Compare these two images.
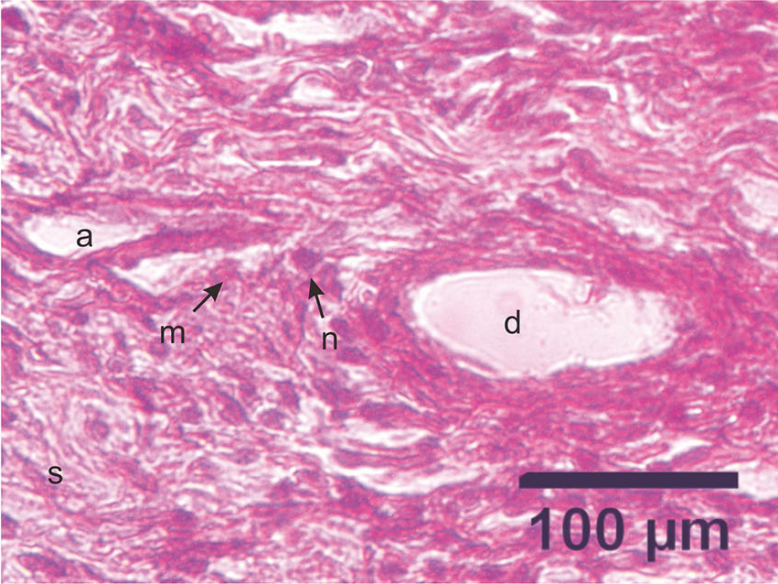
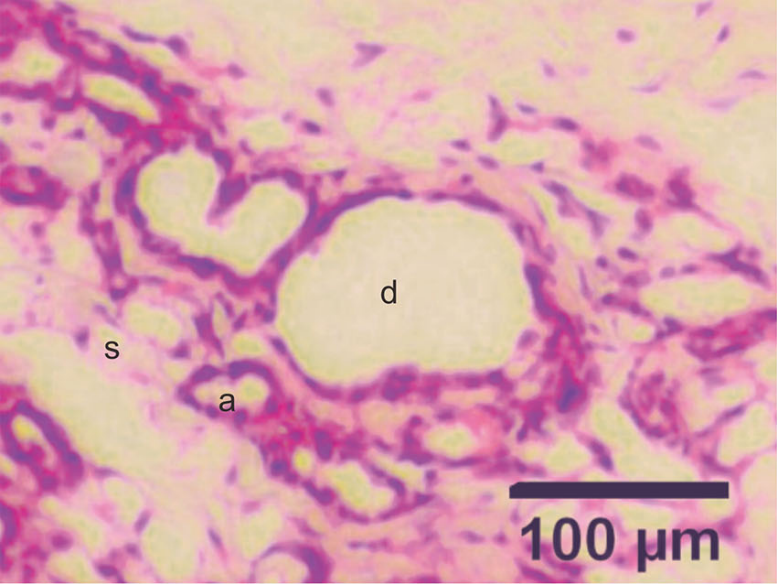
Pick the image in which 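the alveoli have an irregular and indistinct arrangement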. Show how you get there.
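The first image. First image: pale spaces lie in dense pink fibrous tissue without a clear ring of epithelial cells around them. Second image: rounded lumens are each lined by a distinct rim of purple-nucleated epithelial cells.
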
